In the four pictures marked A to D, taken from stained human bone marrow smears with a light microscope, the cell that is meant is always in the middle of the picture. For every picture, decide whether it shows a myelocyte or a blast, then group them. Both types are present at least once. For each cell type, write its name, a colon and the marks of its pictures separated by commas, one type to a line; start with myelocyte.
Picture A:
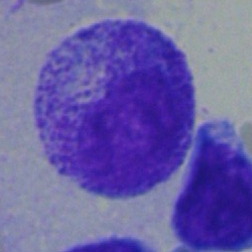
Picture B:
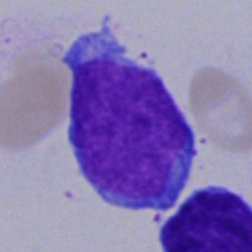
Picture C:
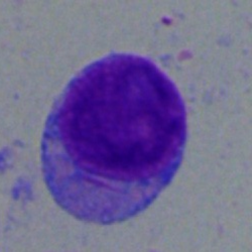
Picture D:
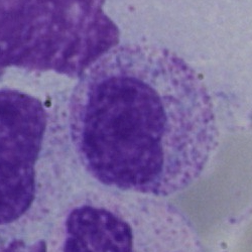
myelocyte: A, D
blast: B, C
